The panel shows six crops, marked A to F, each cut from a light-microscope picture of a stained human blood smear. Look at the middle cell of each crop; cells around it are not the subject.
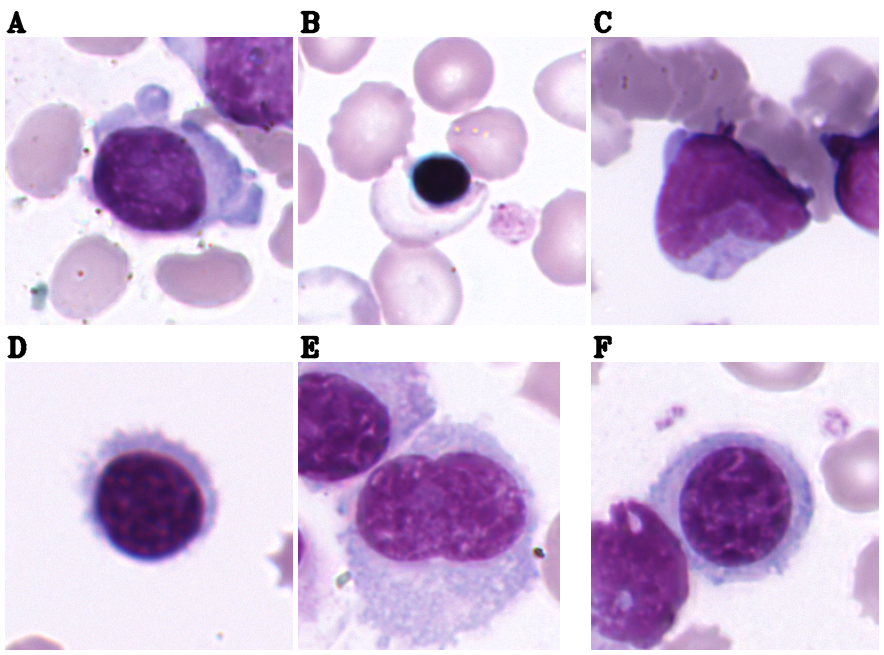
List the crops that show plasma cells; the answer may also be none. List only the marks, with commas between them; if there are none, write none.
A, E, F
